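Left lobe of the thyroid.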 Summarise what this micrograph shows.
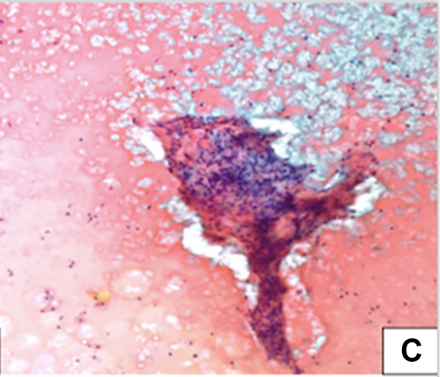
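In the middle lies one dense, irregularly shaped clump of cells whose nuclei stain purple-blue, packed closely together against reddish material. Around it, the background is a pink, fluid-like material with many pale, bubbly clear spaces, and small dark dots of scattered single cells are spread across it. A pale bluish zone borders the clump along one side and above. The cluster stands out sharply because it is so much denser and darker than everything around it.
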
